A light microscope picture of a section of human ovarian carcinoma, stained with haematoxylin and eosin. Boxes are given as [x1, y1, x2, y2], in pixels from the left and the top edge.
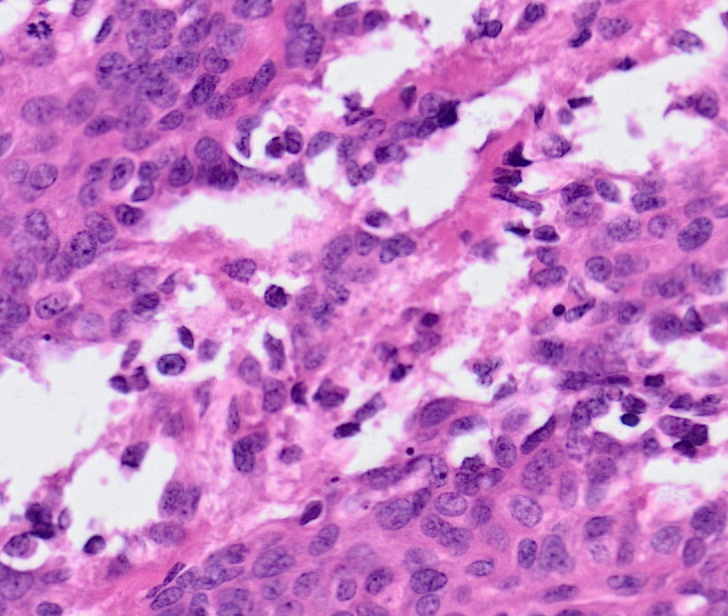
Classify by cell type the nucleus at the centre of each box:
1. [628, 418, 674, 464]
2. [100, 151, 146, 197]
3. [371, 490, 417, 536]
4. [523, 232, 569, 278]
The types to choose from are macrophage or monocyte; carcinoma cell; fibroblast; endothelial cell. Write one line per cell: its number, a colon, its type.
1: carcinoma cell
2: macrophage or monocyte
3: carcinoma cell
4: carcinoma cell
